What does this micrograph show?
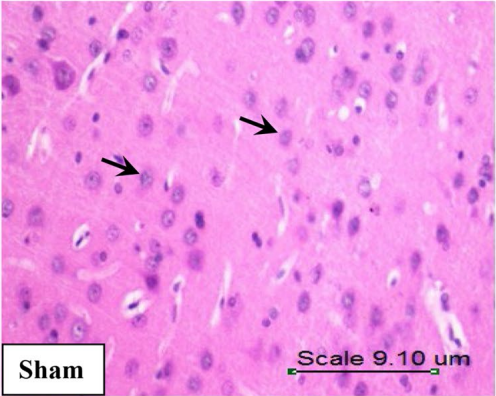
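This is cerebral cortex with many neuronal cells scattered evenly through a pink, finely fibrillar background. Their nuclei are oval or rounded with a small dark nucleolus, and each is surrounded by only a scanty rim of purple cytoplasm, the cells lying without sharp boundaries between them. Small capillaries appear as narrow clear slits among the cells.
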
